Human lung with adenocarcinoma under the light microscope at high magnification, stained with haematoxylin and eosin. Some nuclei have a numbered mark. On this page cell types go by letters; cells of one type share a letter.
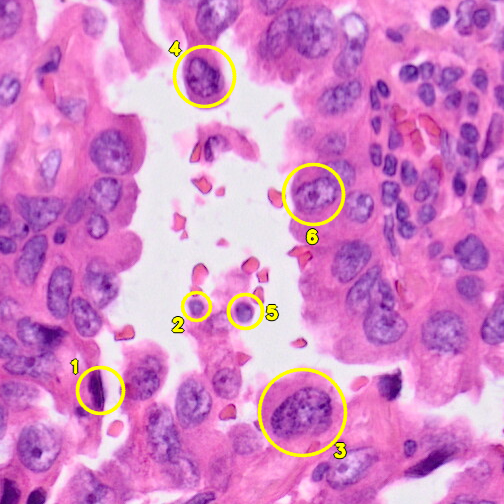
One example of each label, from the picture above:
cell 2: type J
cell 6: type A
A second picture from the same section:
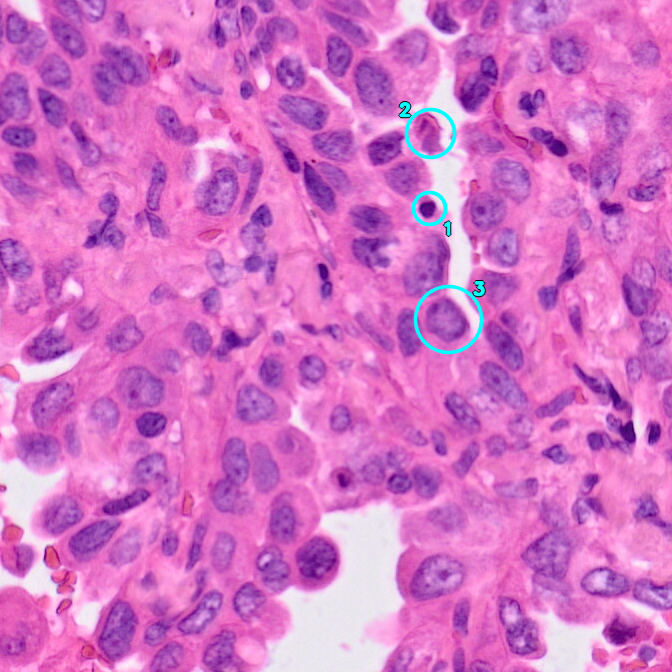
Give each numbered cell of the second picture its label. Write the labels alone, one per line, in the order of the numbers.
type J
type A
type A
